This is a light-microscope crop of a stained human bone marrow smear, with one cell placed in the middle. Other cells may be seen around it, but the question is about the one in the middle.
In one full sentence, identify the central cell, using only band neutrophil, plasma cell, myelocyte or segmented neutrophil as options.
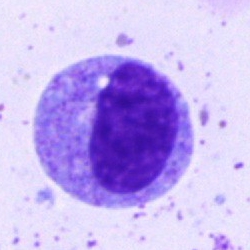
The crop centres on a single cell, and that cell is a myelocyte.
